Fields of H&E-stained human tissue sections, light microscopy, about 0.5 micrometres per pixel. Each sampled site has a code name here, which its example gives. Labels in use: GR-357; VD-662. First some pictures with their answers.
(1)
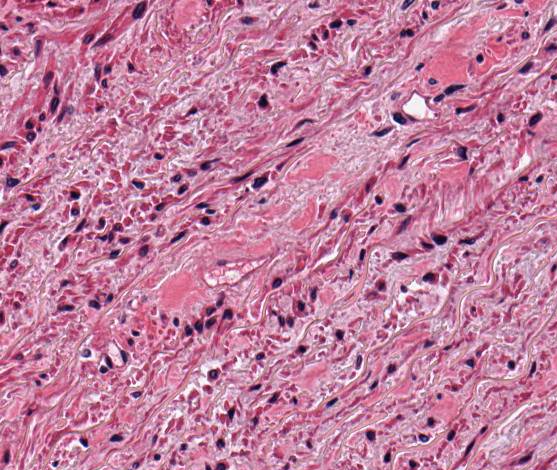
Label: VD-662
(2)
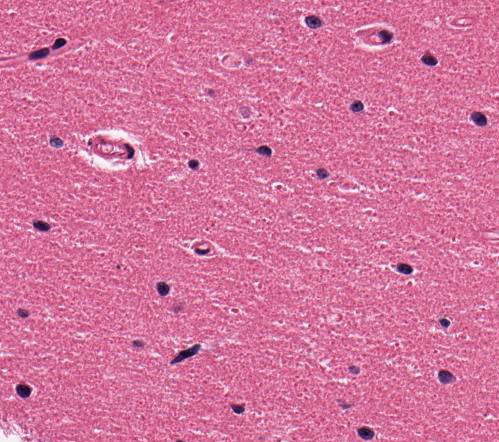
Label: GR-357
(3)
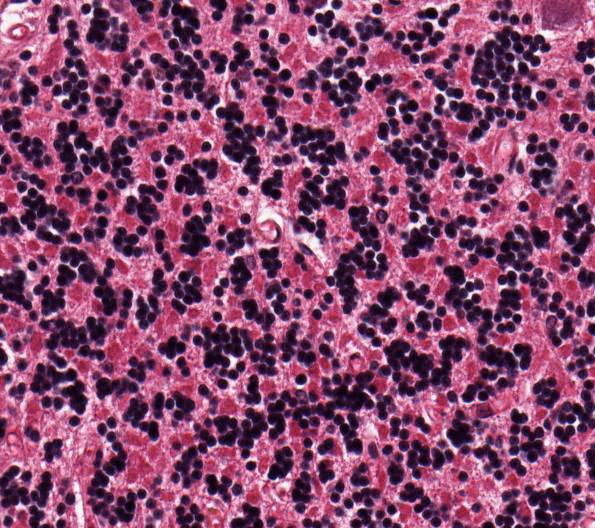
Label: GR-357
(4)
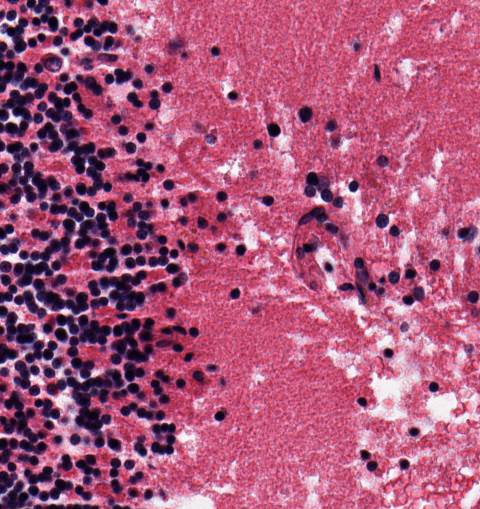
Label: GR-357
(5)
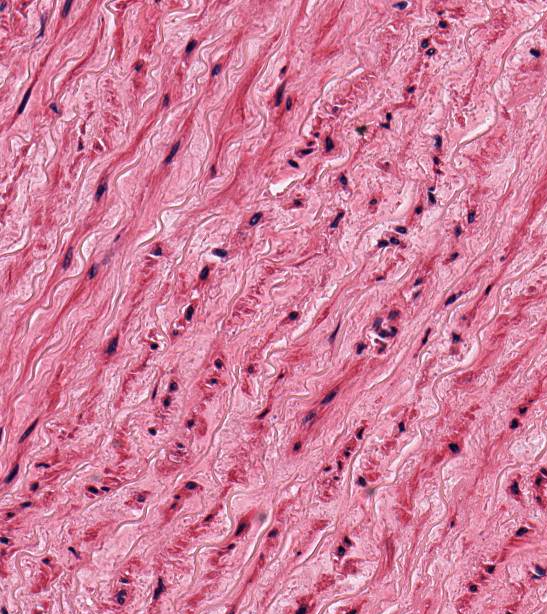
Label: VD-662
